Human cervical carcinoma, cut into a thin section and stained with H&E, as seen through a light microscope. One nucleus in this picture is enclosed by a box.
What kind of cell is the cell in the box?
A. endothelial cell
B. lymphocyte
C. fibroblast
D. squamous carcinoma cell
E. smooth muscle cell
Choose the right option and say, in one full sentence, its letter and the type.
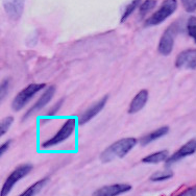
The correct choice is option C; the cell in the box is a fibroblast.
